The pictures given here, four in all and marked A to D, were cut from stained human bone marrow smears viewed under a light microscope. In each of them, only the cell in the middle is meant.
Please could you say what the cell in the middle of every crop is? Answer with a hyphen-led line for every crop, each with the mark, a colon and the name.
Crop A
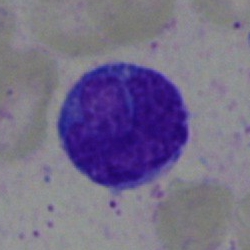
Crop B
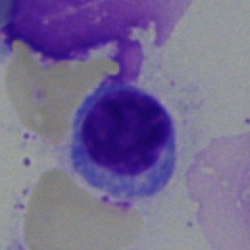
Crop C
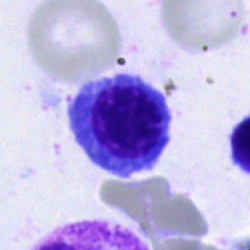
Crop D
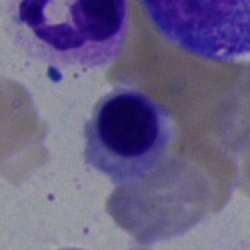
- A: blast
- B: lymphocyte
- C: erythroblast
- D: erythroblast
